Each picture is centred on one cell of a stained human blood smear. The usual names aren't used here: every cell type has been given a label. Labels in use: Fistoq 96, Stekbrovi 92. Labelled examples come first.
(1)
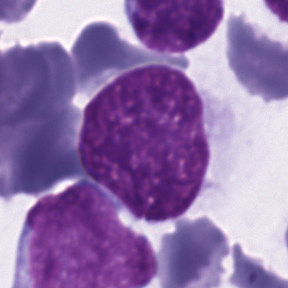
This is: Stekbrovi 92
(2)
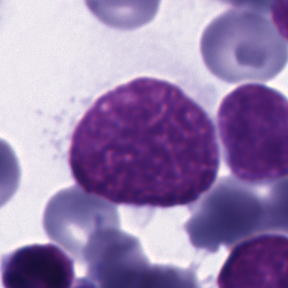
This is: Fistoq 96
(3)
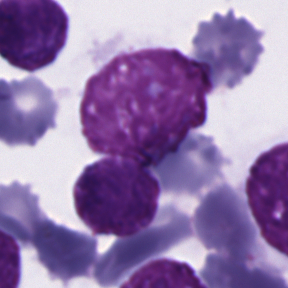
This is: Stekbrovi 92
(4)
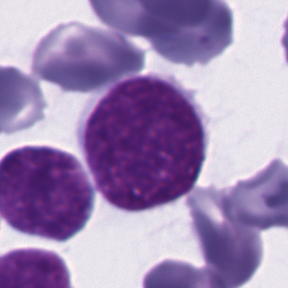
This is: Stekbrovi 92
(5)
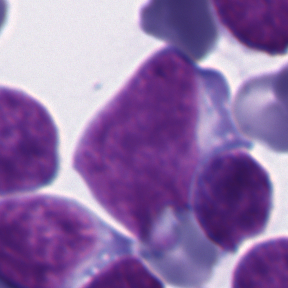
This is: Stekbrovi 92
